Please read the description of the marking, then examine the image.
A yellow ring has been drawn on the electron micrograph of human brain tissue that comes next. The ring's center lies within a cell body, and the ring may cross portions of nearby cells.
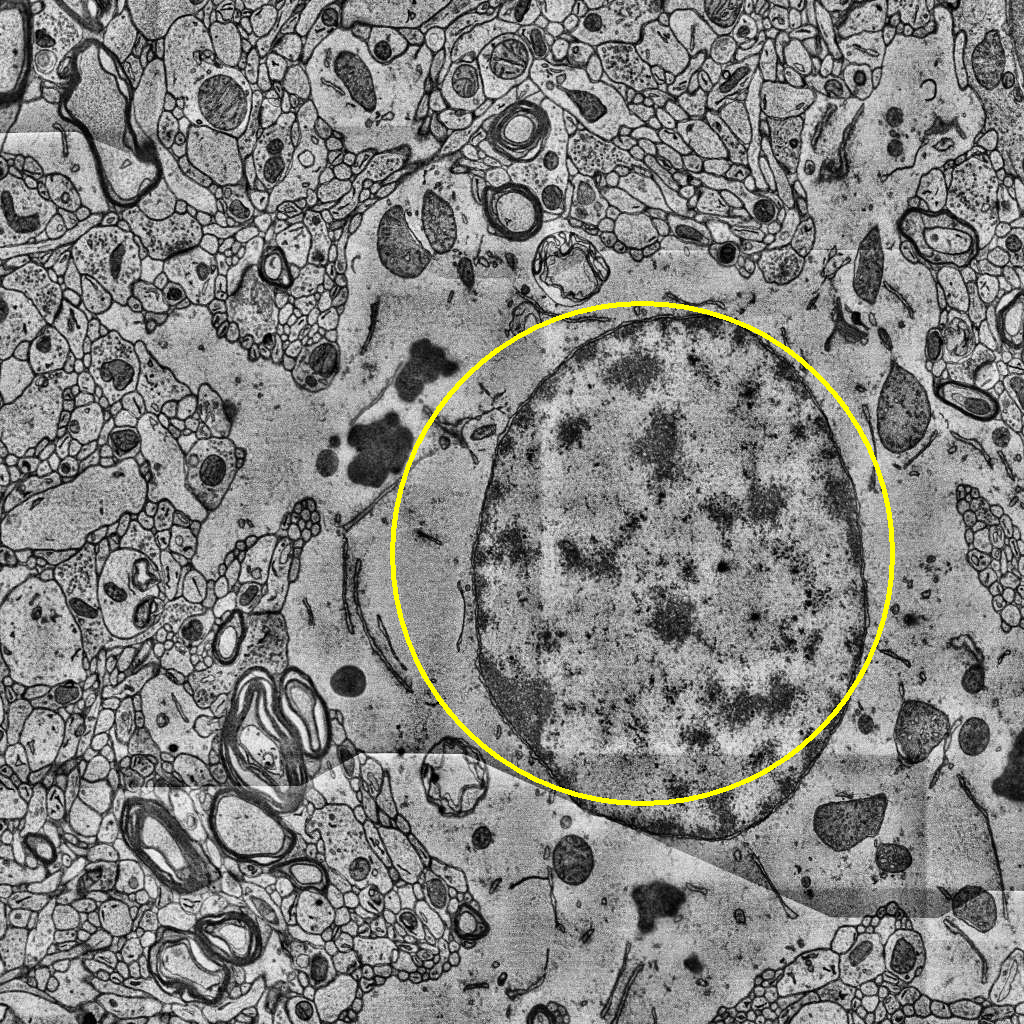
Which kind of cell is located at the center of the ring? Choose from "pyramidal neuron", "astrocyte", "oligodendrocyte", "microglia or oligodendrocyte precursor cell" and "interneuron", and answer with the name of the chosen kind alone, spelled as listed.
astrocyte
